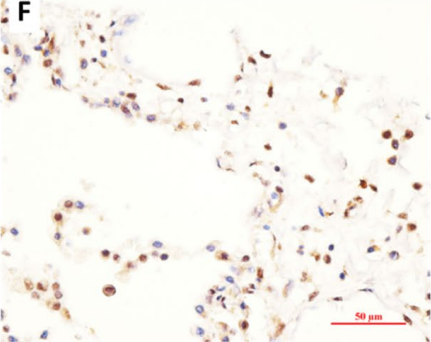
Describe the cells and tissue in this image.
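Thin, delicate walls outline wide, empty airspaces, so this is lung alveolar tissue. Along and within the walls lie many small cells with round, dark nuclei, a good number of them stained brown, others blue; they are scattered more densely than the sparse lining cells of a normal alveolar wall. A few cells sit free at the edges of the spaces. The walls themselves are slender and pale, without crowding into solid sheets.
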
